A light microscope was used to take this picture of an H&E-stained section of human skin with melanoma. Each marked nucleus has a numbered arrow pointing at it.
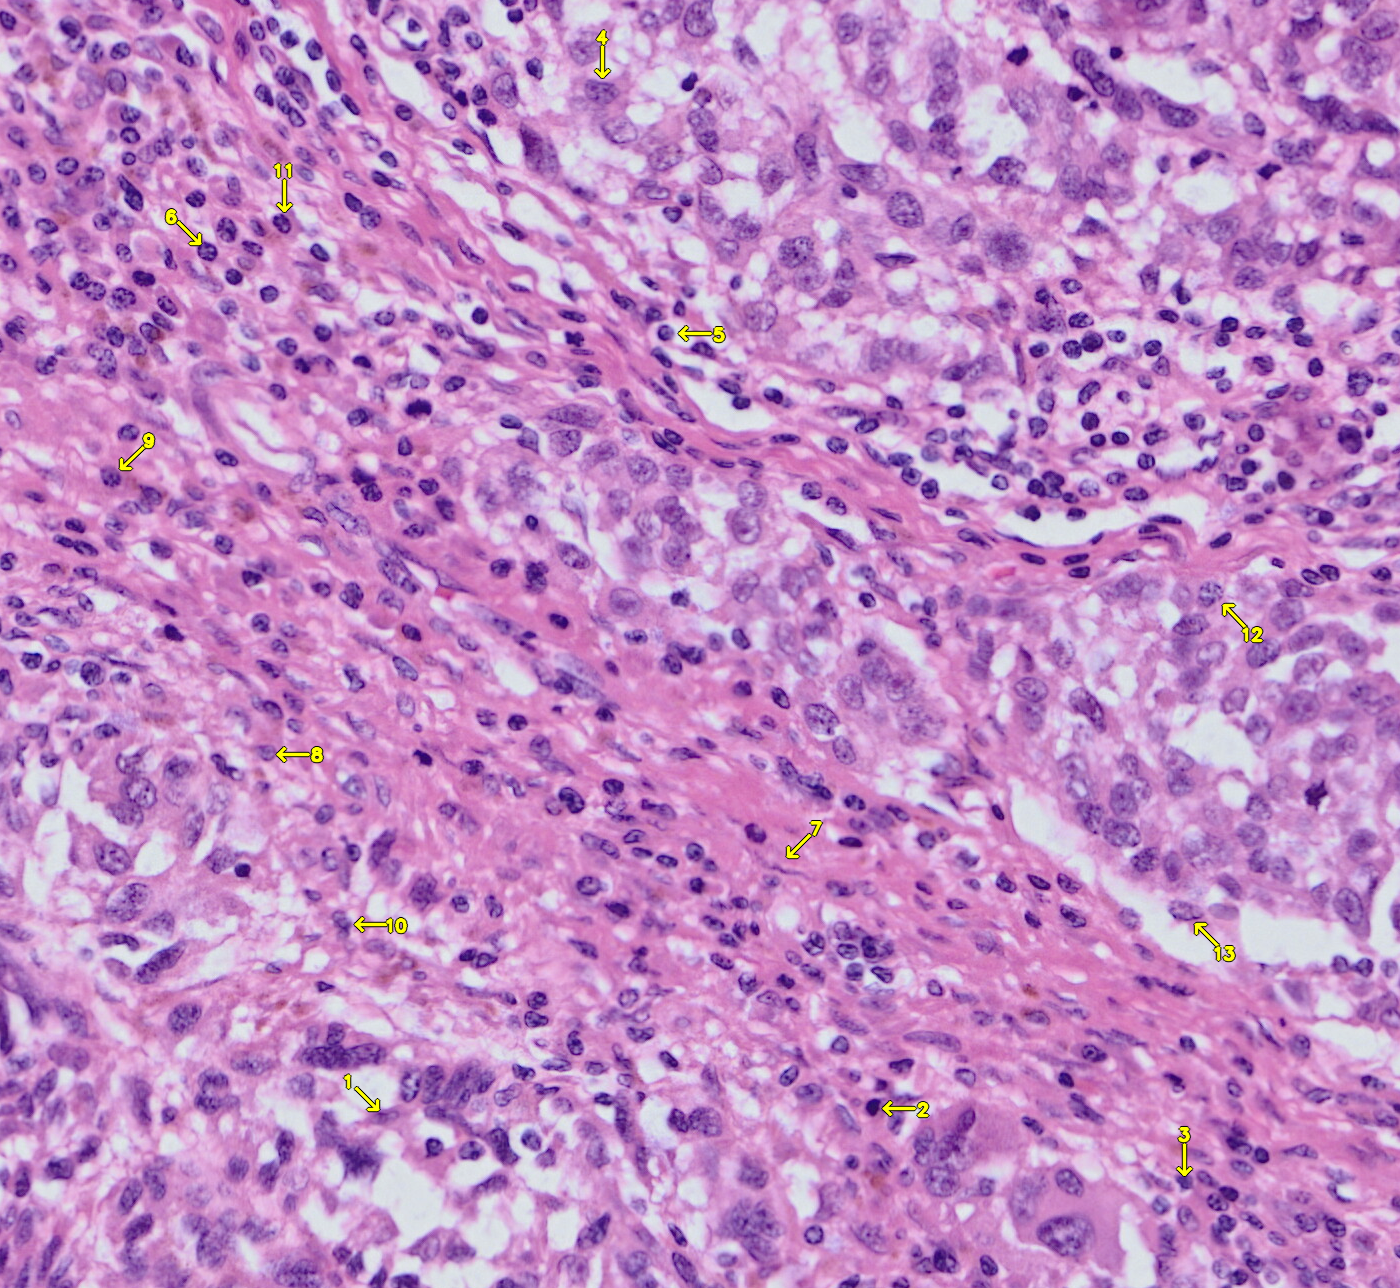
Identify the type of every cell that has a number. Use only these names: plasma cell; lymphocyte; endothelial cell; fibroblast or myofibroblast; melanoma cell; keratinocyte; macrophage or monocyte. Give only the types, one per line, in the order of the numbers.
melanoma cell
plasma cell
lymphocyte
melanoma cell
lymphocyte
plasma cell
fibroblast or myofibroblast
macrophage or monocyte
plasma cell
macrophage or monocyte
plasma cell
melanoma cell
macrophage or monocyte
